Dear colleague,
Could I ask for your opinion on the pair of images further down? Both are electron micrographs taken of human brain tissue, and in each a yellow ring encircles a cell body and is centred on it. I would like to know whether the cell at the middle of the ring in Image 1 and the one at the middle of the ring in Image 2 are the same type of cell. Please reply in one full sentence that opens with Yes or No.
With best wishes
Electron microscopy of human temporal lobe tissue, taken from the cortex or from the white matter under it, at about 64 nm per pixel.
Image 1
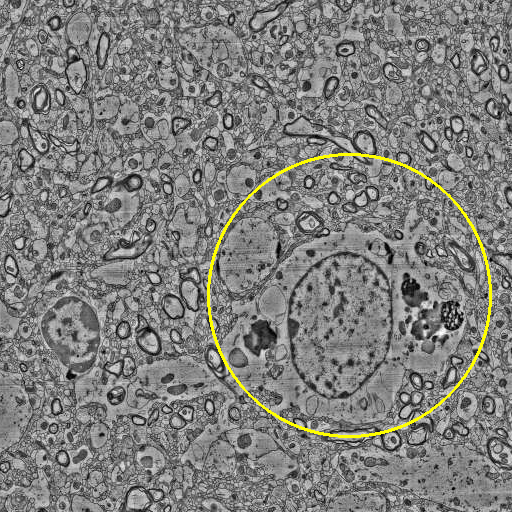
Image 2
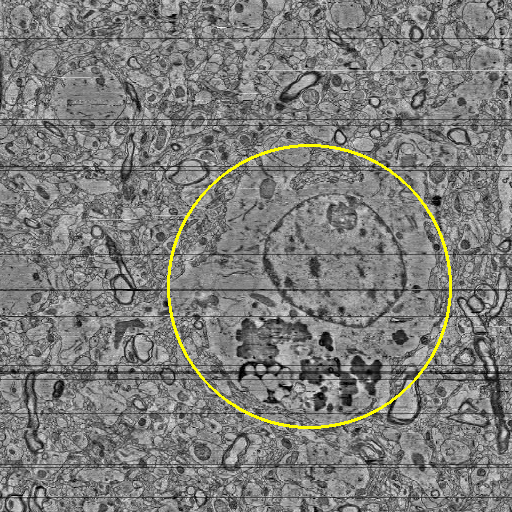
Yes, the cells at the ring centres in Image 1 and Image 2 are of one type.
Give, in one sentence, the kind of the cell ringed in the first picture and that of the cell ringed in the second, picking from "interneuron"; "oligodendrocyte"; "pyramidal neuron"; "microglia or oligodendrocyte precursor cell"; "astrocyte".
Both pictures show an astrocyte at the centre of the ring.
